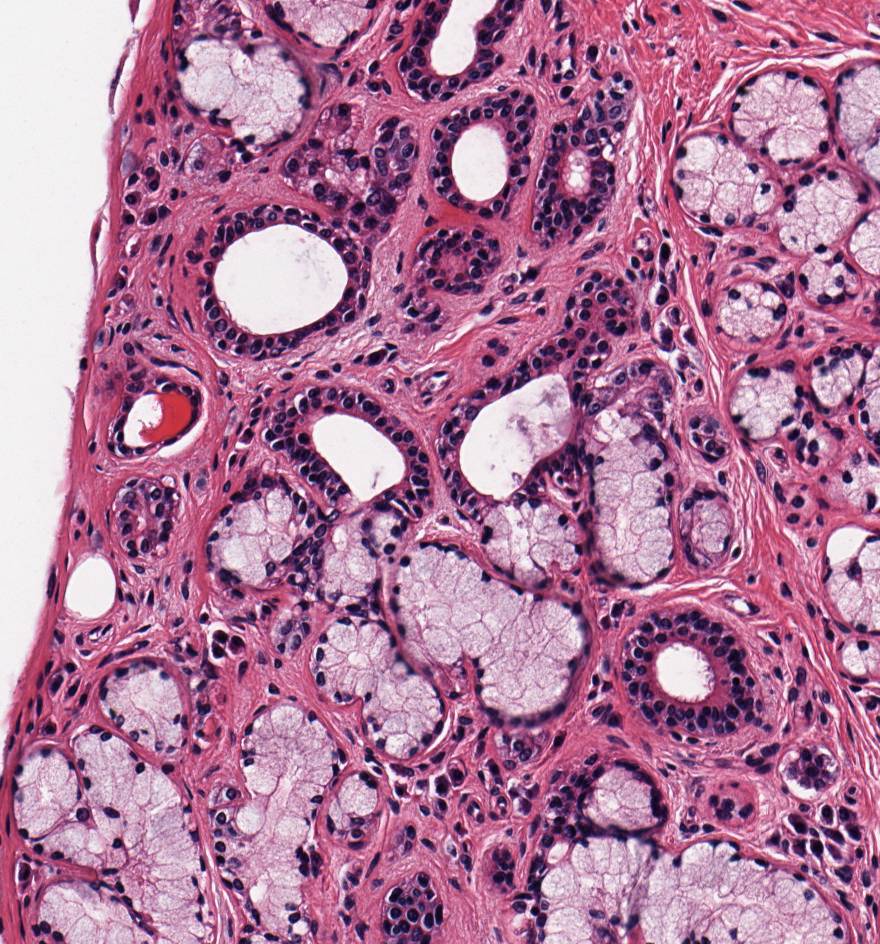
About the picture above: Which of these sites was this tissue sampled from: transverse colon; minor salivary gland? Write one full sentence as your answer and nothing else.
From the minor salivary gland came the tissue in this section.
